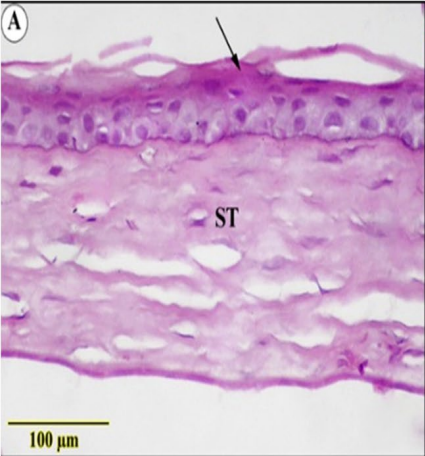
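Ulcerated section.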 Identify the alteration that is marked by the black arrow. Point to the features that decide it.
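Keratosis. A dense pink, flattened layer lies on the surface of the epithelium where the arrow points. The surface layer lifts away from the cells beneath.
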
